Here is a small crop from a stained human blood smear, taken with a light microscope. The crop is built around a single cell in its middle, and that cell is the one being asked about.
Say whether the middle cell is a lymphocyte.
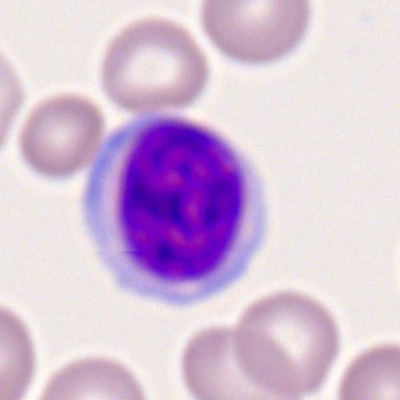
yes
